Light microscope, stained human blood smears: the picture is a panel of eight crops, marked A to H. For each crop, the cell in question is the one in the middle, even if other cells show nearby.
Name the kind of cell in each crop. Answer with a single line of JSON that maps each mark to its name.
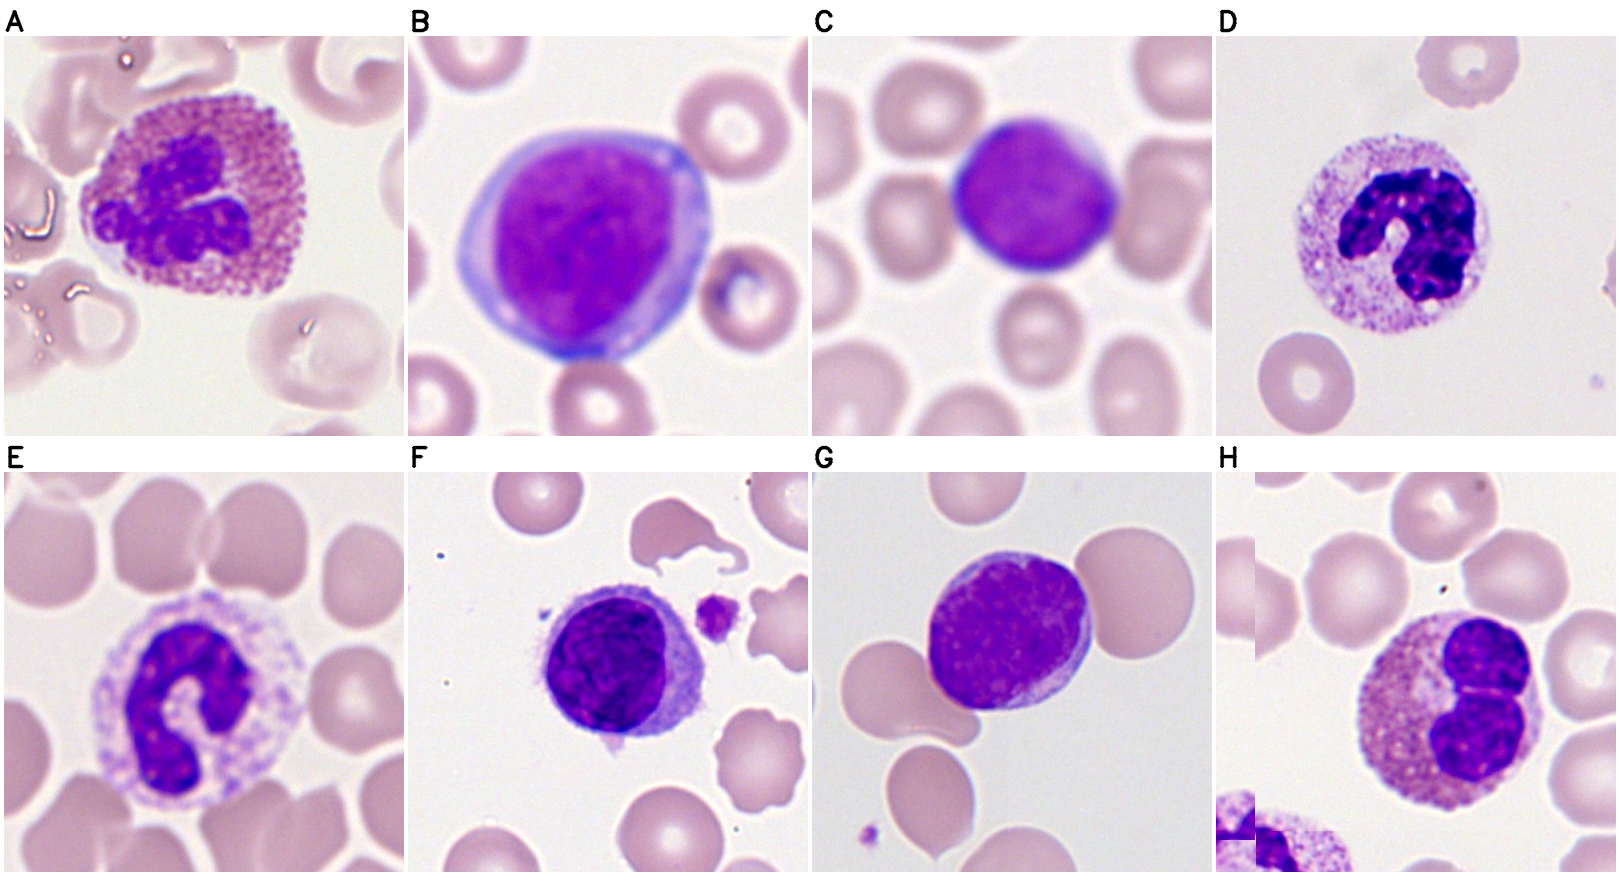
{"A": "eosinophil", "B": "blast", "C": "blast", "D": "band neutrophil", "E": "band neutrophil", "F": "lymphocyte", "G": "blast", "H": "eosinophil"}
